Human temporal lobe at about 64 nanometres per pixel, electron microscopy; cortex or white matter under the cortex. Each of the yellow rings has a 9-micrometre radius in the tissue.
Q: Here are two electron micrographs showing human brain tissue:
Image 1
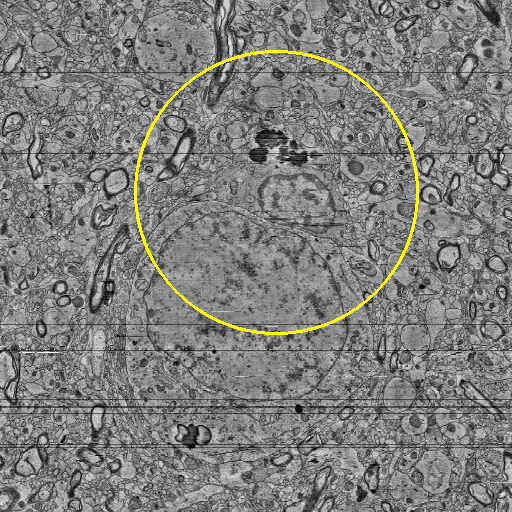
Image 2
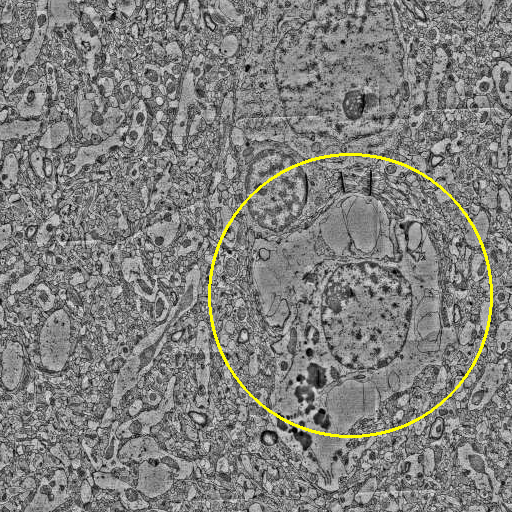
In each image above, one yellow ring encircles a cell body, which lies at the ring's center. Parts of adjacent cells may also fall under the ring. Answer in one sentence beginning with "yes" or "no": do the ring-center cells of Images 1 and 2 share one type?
No, in Images 1 and 2, the ring-center cells are of two types.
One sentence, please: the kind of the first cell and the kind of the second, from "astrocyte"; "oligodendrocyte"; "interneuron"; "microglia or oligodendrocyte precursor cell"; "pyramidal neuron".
The ring in the first picture surrounds an oligodendrocyte, and the ring in the second surrounds an astrocyte.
